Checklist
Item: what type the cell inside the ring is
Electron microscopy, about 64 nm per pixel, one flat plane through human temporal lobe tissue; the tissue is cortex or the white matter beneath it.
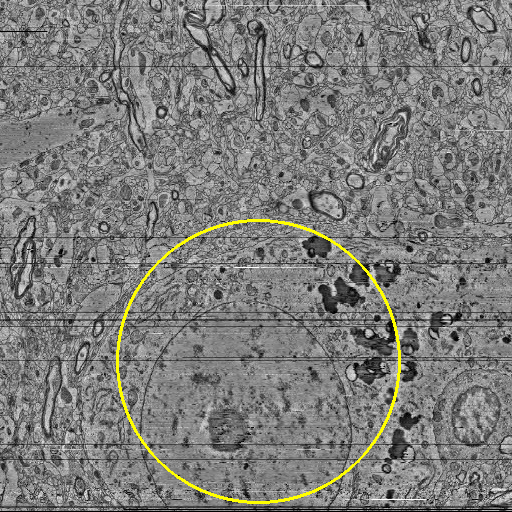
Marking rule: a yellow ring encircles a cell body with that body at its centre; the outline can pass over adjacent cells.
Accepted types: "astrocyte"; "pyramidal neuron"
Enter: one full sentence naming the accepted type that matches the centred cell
The entry is that a pyramidal neuron lies at the centre of the yellow ring.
